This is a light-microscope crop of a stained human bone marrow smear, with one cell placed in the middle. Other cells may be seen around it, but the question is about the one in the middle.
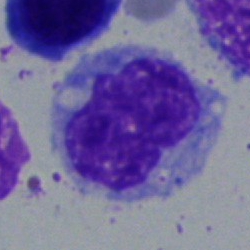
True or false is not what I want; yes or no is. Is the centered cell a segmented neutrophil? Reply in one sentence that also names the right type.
No, the central cell here is a monocyte; calling it a segmented neutrophil is not right.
